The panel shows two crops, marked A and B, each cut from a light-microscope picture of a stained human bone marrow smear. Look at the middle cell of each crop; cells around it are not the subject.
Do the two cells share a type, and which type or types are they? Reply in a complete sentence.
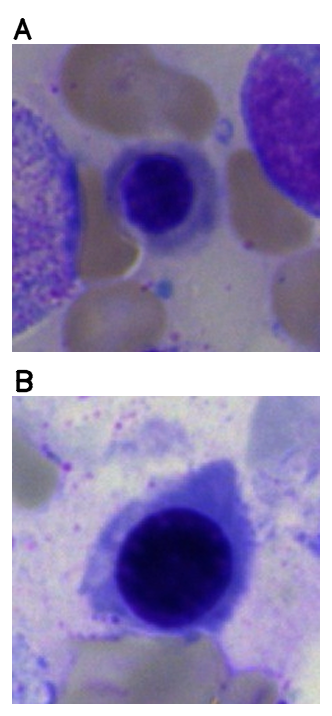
Yes, both crops, not just one, show normoblasts.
